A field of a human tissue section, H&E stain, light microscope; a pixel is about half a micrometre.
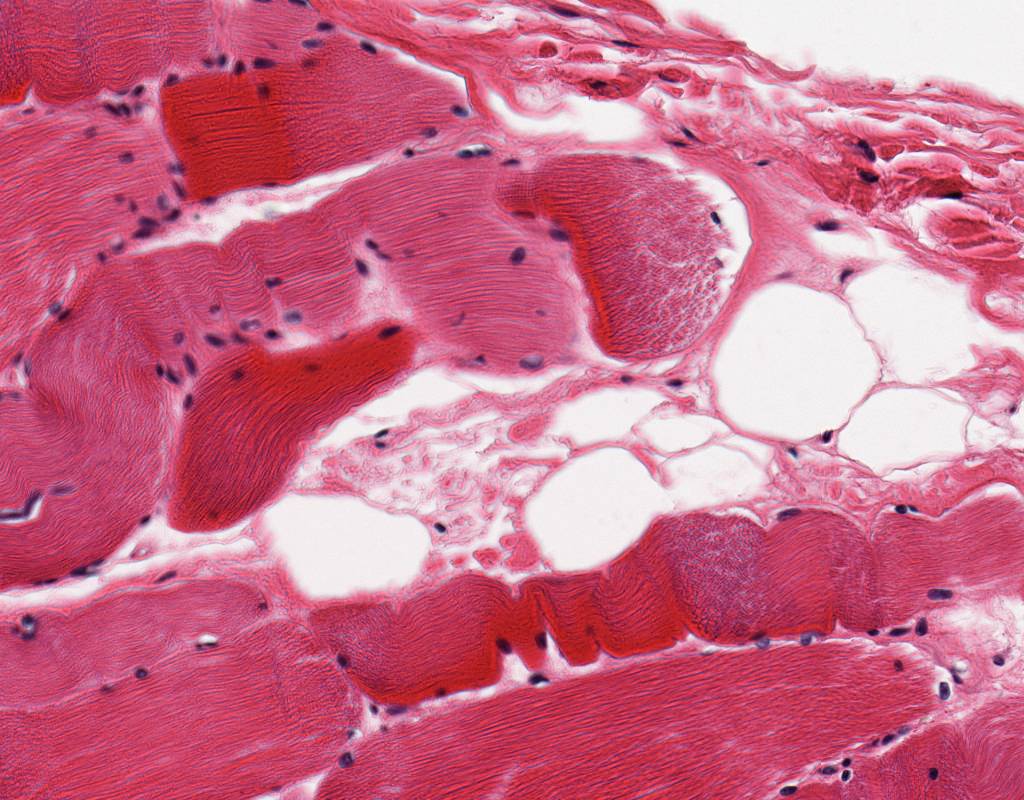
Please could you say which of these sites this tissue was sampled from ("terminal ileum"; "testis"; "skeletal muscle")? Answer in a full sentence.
The site this tissue was sampled from is the skeletal muscle.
